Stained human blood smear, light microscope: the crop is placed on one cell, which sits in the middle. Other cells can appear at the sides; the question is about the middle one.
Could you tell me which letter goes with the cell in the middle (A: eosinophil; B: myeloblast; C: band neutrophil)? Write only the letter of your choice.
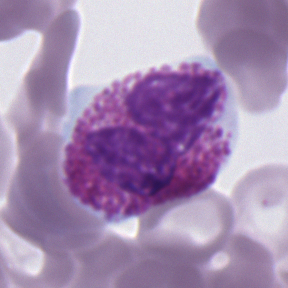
A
